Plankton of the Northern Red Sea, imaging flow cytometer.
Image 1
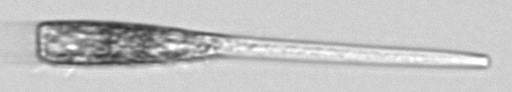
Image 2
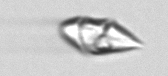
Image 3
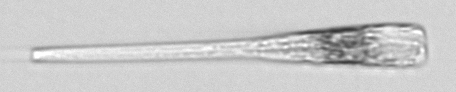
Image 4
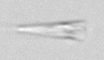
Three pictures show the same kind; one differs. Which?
Picture 2: Gyrodinium, while the others are Licmophora.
